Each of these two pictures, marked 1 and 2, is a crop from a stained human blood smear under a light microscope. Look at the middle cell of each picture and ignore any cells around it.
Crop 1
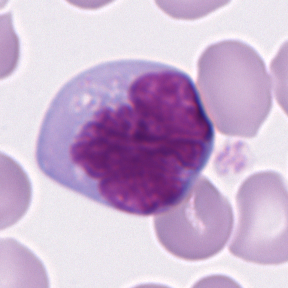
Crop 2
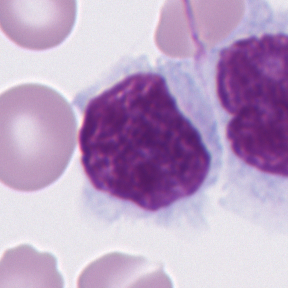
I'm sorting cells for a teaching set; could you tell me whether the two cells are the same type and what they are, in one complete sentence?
No, crop 1 is where a typical lymphocyte is, and crop 2 is where a hairy cell is.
